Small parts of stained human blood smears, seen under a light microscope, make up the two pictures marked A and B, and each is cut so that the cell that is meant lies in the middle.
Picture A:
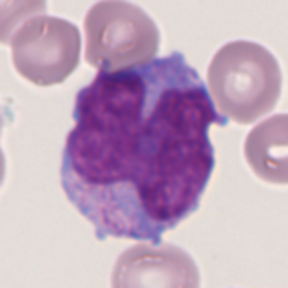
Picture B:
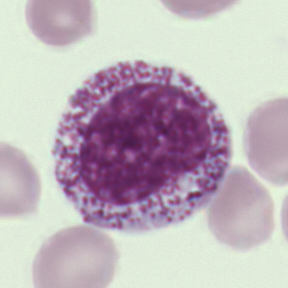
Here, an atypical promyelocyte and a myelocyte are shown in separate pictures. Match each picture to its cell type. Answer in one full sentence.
In picture A the cell is an atypical promyelocyte; in picture B, a myelocyte.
